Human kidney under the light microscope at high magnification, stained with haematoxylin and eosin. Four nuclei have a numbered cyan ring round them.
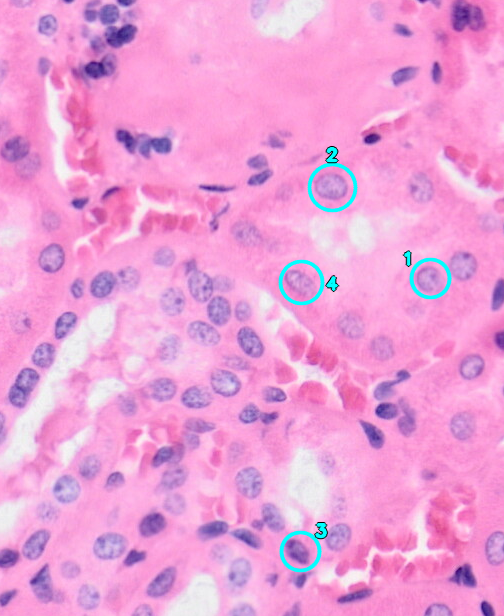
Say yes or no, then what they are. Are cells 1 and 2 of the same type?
Yes, in this tissue section, cells 1 and 2 are both proximal tubule cells.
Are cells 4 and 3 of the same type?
No, cell 3 is a collecting duct cell, but cell 4 is a proximal tubule cell.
